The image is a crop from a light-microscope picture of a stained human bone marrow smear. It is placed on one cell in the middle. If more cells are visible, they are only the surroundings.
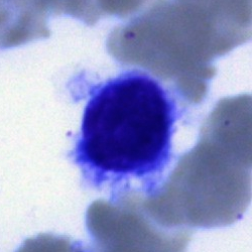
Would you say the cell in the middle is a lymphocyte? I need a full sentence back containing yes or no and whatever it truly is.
Yes, the cell in the middle is rightly called a lymphocyte.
